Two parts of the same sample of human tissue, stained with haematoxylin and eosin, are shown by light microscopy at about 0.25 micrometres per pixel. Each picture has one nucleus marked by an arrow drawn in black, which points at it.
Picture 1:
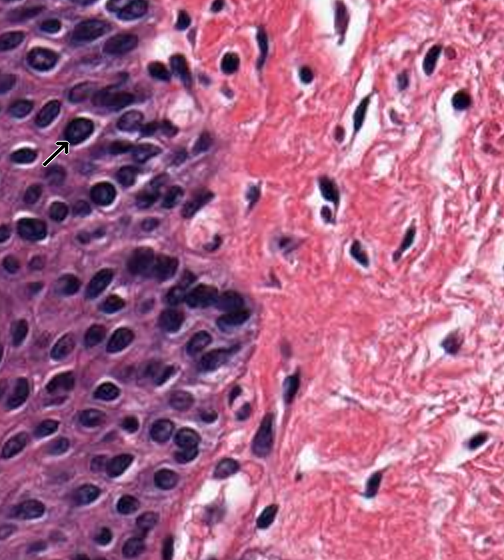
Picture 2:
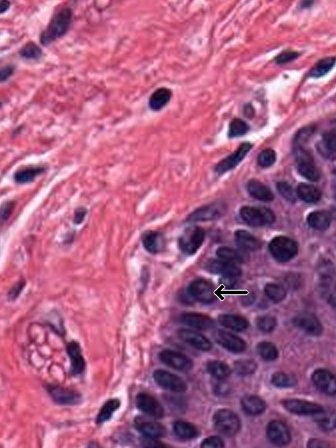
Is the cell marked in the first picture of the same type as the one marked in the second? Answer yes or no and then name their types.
Yes, both are squamous epithelial cells.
